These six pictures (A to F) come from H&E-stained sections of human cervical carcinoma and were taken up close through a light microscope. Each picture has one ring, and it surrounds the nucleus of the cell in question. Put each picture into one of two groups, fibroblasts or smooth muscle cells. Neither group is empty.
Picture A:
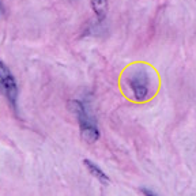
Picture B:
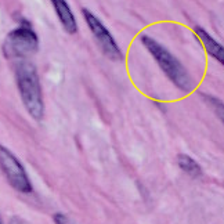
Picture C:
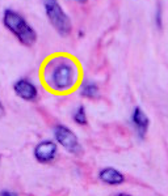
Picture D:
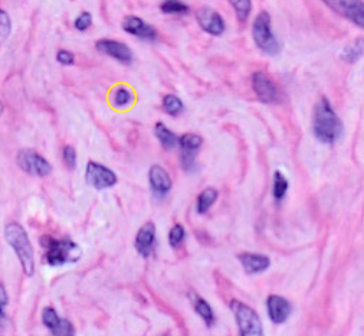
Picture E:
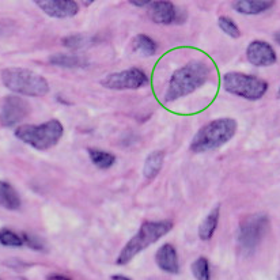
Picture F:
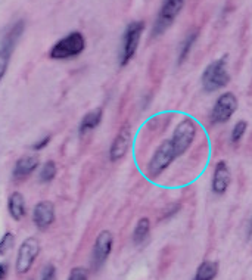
A: smooth muscle cell
B: fibroblast
C: smooth muscle cell
D: smooth muscle cell
E: fibroblast
F: smooth muscle cell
